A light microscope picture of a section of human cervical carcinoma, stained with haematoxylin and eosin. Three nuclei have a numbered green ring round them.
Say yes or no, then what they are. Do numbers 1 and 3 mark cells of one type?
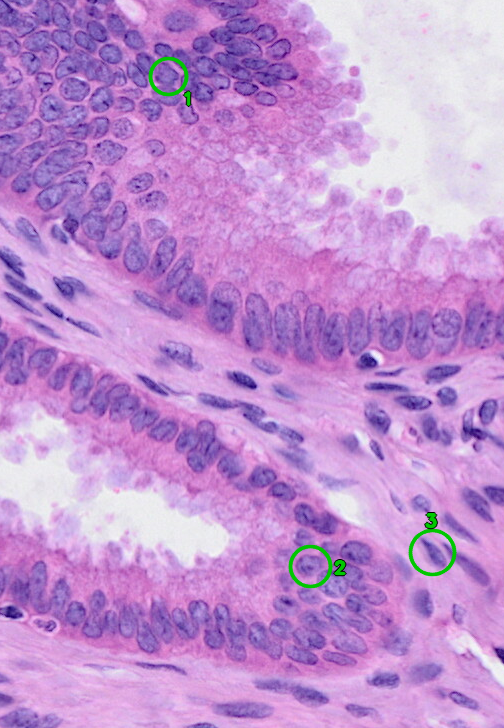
No, cell 1 is a secretory epithelial cell, whereas a fibroblast is what cell 3 is.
